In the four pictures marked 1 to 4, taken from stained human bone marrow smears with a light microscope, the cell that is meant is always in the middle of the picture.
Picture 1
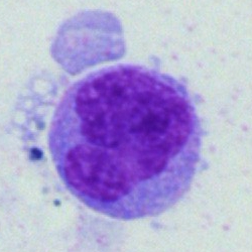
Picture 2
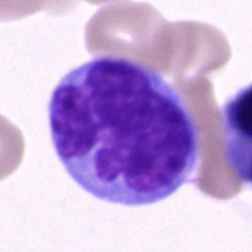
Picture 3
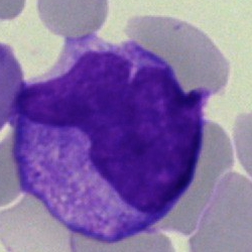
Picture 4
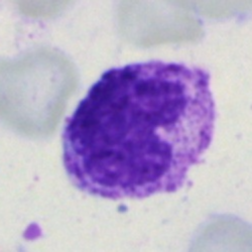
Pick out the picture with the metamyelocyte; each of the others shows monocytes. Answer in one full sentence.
The picture with the metamyelocyte is 4.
